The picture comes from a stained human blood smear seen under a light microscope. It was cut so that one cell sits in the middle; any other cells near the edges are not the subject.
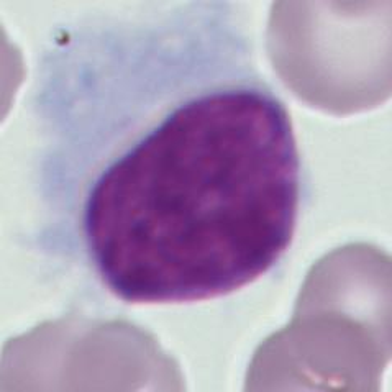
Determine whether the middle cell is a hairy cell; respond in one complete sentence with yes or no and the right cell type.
Yes, a hairy cell is the cell positioned in the middle of the field.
